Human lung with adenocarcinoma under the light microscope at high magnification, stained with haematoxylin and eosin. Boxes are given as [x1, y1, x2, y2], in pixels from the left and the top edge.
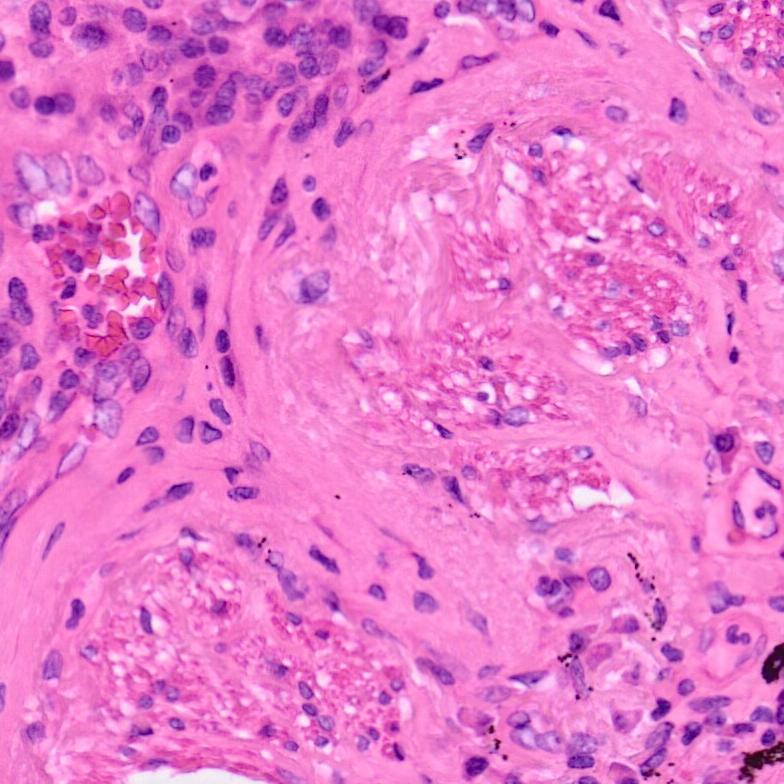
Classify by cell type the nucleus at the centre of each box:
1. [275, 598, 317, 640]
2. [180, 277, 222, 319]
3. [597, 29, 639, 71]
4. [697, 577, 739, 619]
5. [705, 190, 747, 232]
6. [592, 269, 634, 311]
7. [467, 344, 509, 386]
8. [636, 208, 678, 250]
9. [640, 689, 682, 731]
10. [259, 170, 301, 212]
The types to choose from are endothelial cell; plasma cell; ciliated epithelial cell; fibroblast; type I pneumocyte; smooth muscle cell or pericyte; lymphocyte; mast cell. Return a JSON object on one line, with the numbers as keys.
{"1": "smooth muscle cell or pericyte", "2": "plasma cell", "3": "fibroblast", "4": "fibroblast", "5": "smooth muscle cell or pericyte", "6": "smooth muscle cell or pericyte", "7": "smooth muscle cell or pericyte", "8": "smooth muscle cell or pericyte", "9": "lymphocyte", "10": "plasma cell"}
